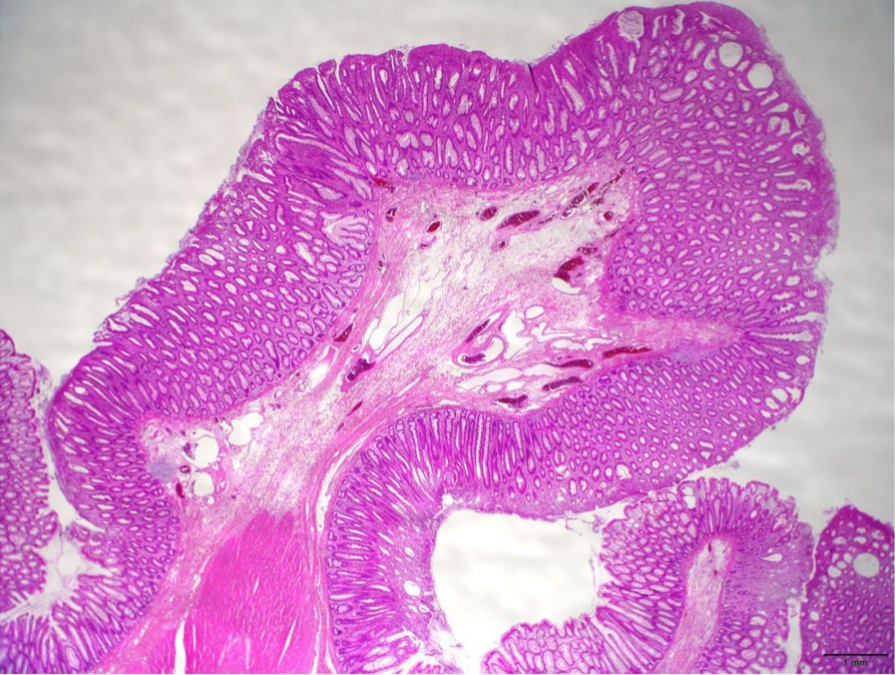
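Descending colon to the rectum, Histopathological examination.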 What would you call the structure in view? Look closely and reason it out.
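Raised lesions. A mushroom-shaped mucosal mass rises on a stalk above the surrounding mucosa. A core of loose stroma with vessels extends up from the base into the mass. Bundles of pink smooth muscle sit at the base of the stalk.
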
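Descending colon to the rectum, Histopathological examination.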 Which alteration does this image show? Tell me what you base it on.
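Hyperplasia of the crypt epithelium. Crypts are densely packed and elongated. Many crypts are tortuous, branched or dilated. The mucosa is markedly thickened around the stalk.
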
